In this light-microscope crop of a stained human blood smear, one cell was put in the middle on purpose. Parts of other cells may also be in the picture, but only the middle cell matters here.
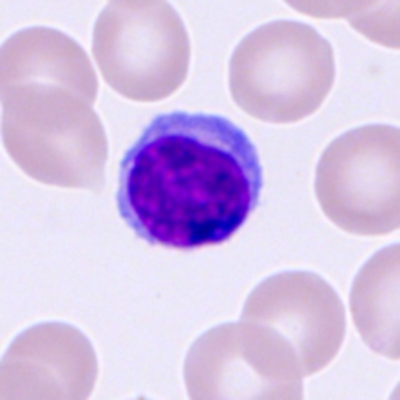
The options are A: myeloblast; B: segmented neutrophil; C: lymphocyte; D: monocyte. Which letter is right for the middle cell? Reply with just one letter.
C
